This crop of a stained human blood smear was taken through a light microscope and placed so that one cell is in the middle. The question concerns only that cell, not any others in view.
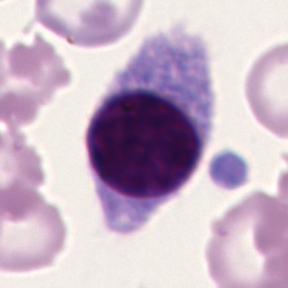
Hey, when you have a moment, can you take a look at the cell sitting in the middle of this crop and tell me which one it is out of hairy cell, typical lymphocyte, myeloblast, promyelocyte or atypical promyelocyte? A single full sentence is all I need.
This crop's central cell is a hairy cell.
